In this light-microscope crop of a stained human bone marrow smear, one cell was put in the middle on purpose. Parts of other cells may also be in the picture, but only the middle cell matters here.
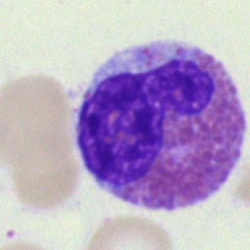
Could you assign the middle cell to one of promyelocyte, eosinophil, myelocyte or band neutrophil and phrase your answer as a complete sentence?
The center cell of this crop is an eosinophil.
